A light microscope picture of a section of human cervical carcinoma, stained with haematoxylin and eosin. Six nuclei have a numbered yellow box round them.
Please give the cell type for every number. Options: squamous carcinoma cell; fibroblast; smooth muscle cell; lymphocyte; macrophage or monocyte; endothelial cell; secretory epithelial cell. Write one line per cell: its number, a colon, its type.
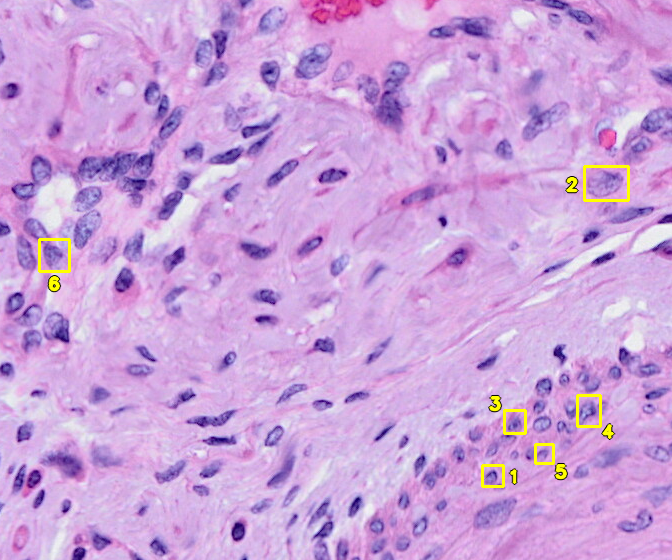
1: smooth muscle cell
2: endothelial cell
3: smooth muscle cell
4: smooth muscle cell
5: smooth muscle cell
6: endothelial cell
